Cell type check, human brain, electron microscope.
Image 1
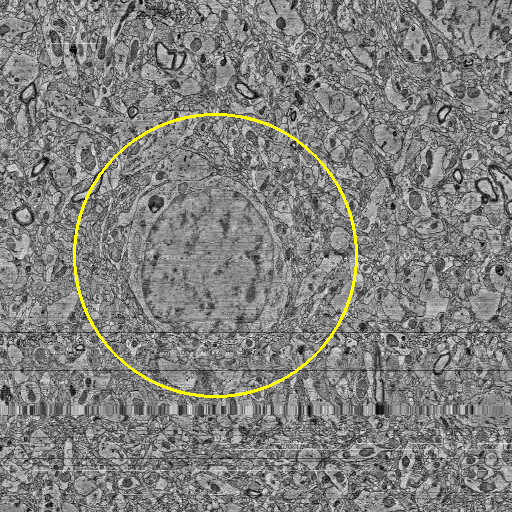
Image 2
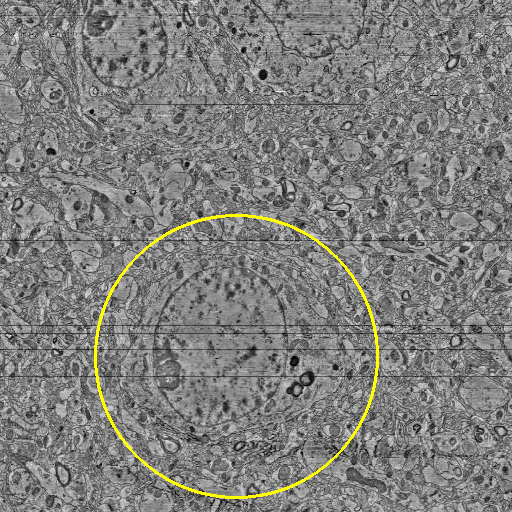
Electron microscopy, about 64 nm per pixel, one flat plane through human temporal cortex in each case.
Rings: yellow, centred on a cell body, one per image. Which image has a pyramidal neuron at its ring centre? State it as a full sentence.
The ring in Image 2 is centred on it.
